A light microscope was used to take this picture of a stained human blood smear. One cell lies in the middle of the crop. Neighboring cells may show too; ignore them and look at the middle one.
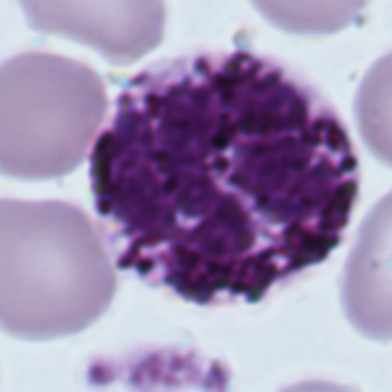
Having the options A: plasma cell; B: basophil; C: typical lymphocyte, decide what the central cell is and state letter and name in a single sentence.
The centered cell is a basophil, which is why option B is right.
